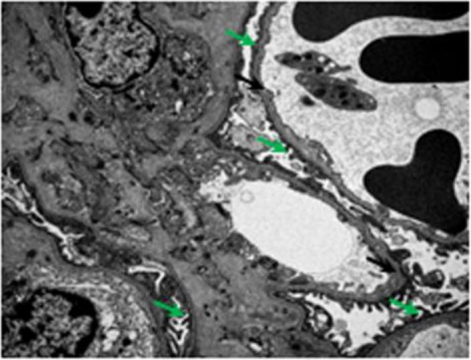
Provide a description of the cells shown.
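This transmission electron micrograph shows a glomerulus with capillary loops, some holding dark red blood cells, bordered by a thin grey basement membrane. Podocyte foot processes line the outer side of the membrane, and in places they look broad and flattened rather than finely spaced. Large, fairly dense cell bodies with irregular nuclei fill much of the left side of the field.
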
